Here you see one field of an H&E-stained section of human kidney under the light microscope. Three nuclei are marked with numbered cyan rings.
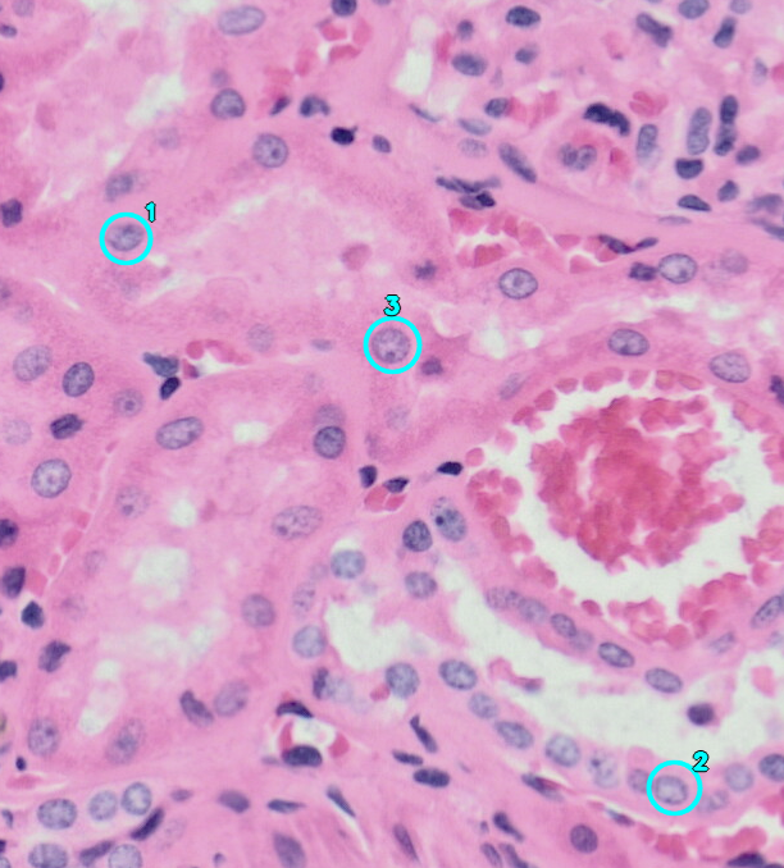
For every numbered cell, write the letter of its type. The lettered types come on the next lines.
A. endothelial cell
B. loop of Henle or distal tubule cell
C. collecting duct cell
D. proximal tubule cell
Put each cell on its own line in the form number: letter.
1: D
2: C
3: D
